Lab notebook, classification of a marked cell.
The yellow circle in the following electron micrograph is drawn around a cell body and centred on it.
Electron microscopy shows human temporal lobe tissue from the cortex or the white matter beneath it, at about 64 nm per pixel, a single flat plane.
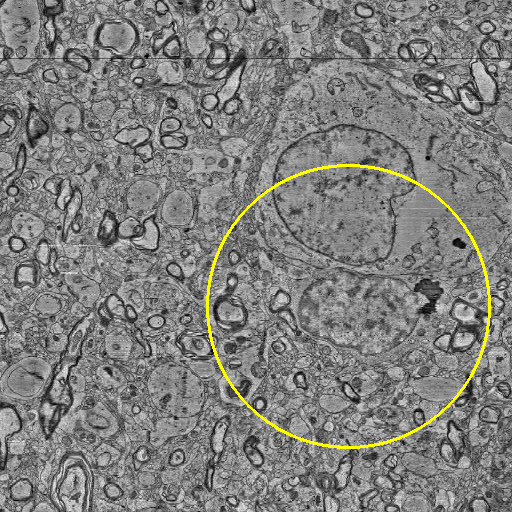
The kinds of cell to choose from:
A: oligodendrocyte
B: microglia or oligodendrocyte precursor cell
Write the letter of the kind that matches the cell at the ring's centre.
A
